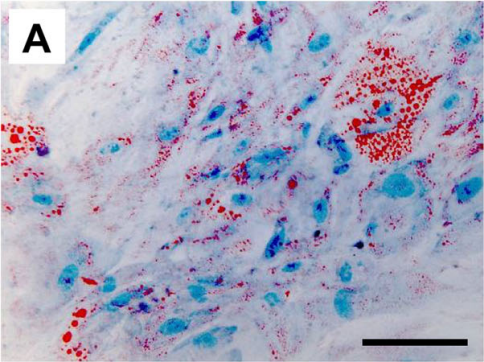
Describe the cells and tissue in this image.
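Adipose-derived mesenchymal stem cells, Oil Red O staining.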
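Cultured cells with differentiated adipocytes, many holding red-stained lipid droplets. The cells are flattened and spread, with oval nuclei stained blue-green. Red droplets of varied size are scattered through the cytoplasm of many cells. In some cells the droplets are numerous and crowd around the nucleus, filling much of the cell body. Other cells hold few or no droplets.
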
